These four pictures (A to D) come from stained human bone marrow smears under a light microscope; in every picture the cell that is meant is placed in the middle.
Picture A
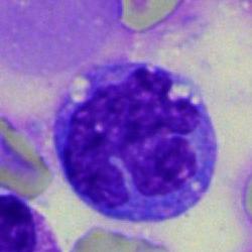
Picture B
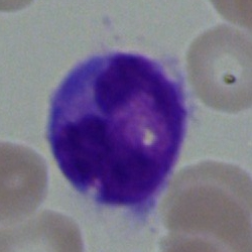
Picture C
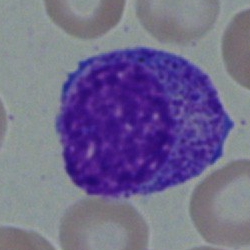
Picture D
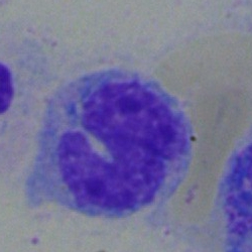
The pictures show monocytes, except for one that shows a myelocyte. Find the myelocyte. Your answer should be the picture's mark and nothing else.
C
